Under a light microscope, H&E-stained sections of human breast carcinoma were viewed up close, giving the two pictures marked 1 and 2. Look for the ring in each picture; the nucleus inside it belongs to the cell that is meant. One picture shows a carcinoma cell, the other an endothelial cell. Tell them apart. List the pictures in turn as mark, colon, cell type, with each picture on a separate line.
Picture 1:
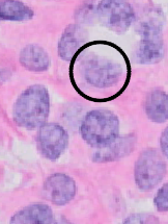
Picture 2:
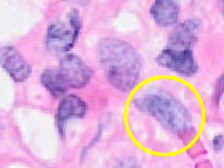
1: carcinoma cell
2: endothelial cell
